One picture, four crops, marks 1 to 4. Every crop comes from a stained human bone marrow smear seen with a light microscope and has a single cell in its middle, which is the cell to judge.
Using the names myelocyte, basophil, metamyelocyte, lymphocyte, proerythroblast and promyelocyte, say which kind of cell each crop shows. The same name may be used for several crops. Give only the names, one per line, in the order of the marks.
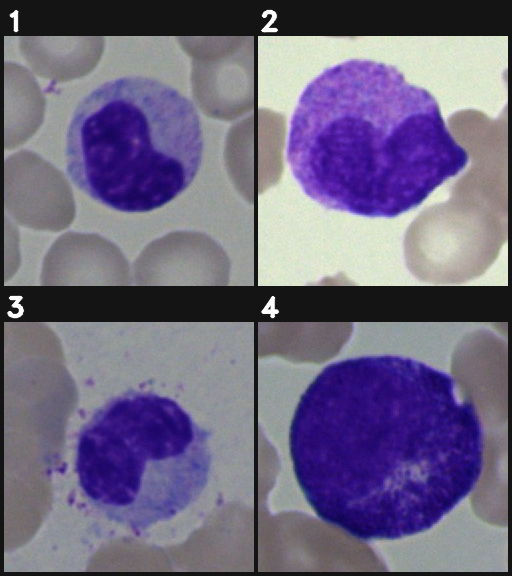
metamyelocyte
metamyelocyte
metamyelocyte
promyelocyte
